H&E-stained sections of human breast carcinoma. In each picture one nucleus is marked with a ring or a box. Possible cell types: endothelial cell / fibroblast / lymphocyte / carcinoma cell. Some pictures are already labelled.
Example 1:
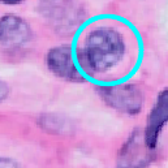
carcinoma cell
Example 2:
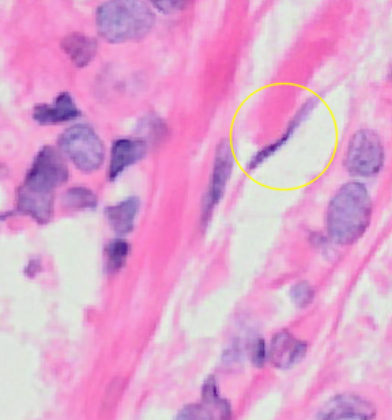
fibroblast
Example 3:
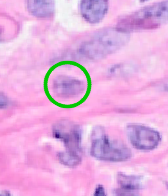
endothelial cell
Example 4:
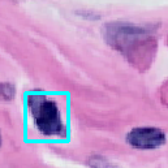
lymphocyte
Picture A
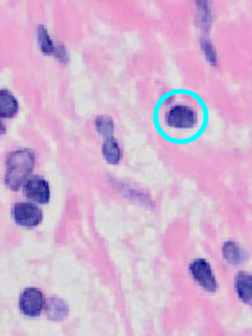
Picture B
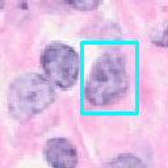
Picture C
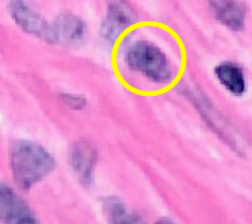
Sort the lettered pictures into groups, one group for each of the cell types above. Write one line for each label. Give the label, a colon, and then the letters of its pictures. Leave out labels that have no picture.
lymphocyte: A, C
carcinoma cell: B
